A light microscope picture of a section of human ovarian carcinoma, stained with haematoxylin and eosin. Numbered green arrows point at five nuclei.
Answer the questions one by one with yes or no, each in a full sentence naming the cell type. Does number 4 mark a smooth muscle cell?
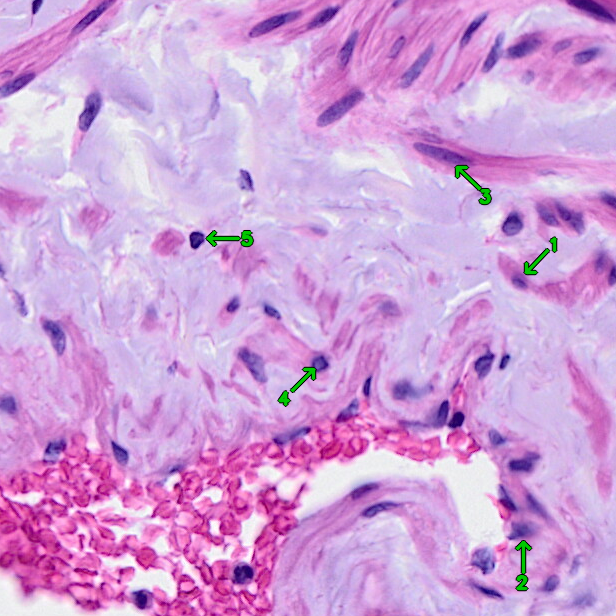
Yes, cell number 4 is classified as a smooth muscle cell.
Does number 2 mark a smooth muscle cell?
No, number 2 is assigned to an endothelial cell, not to a smooth muscle cell.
